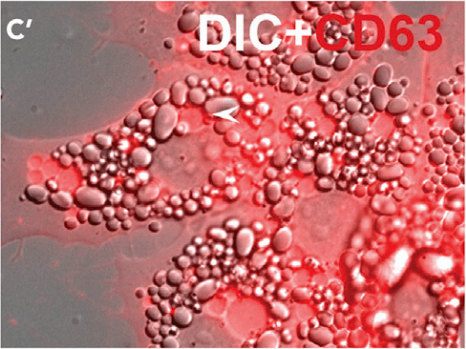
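The cells are crowded with round and oval refractile bodies of many sizes, the yolk platelets, which give them a cobbled look. The platelets gather in dense clusters, while smoother gray areas lie between the clusters. The red fluorescence tints the field and is brighter in places among the clustered platelets.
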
